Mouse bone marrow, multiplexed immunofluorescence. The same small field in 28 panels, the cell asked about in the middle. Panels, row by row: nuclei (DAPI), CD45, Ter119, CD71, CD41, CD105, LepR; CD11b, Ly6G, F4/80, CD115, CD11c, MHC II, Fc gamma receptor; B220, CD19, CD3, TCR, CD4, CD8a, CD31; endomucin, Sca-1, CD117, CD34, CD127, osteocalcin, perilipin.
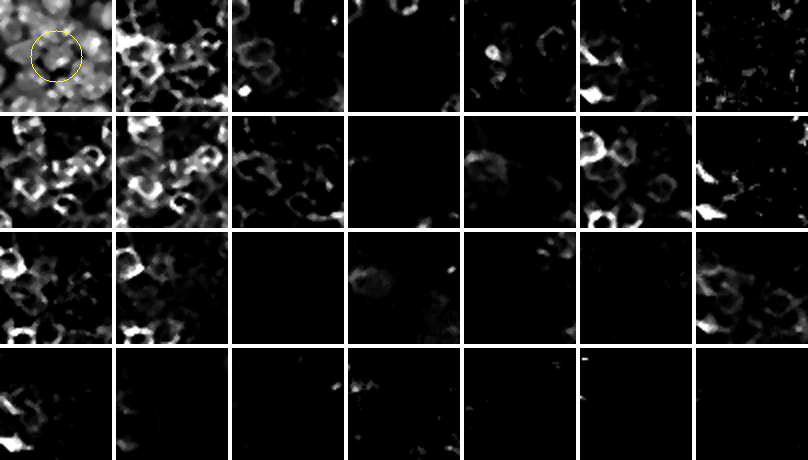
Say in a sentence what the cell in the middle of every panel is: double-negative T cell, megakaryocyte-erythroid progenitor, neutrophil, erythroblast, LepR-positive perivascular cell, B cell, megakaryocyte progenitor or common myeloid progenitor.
This is a neutrophil.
